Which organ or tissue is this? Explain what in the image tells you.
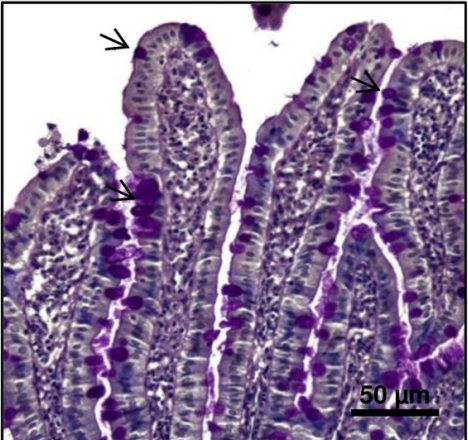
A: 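Finger-like projections covered by a single layer of columnar epithelium. Each projection has a core of loose connective tissue with many small nuclei.
Conclusion: intestinal villi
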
